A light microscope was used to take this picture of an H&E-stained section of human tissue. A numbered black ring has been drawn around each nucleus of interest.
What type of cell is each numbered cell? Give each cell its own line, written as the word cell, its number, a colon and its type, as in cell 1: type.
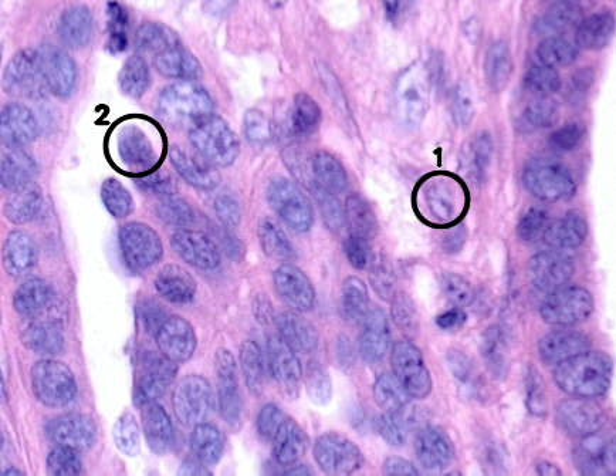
cell 1: fibroblast
cell 2: carcinoma cell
